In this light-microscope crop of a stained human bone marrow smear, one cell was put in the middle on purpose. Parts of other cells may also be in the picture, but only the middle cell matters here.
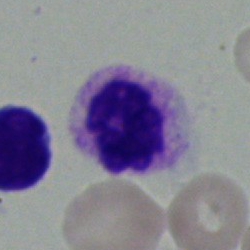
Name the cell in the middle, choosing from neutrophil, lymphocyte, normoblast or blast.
neutrophil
